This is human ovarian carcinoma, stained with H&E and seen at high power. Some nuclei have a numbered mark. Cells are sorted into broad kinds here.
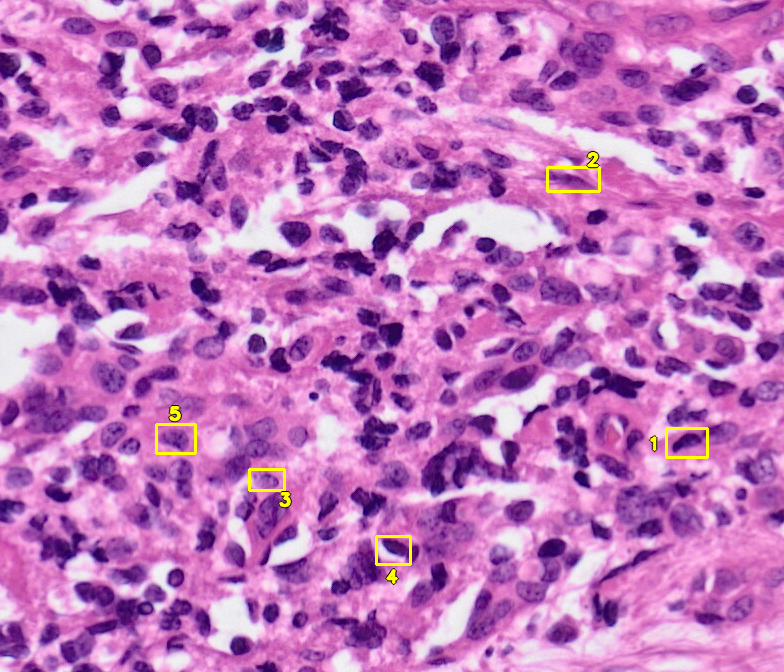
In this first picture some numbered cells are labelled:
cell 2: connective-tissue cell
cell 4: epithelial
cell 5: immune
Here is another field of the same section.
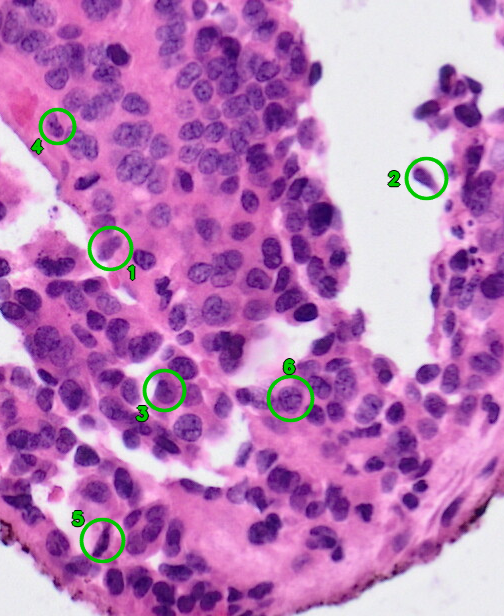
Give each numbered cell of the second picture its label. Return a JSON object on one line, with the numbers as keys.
{"1": "epithelial", "2": "epithelial", "3": "epithelial", "4": "immune", "5": "immune", "6": "epithelial"}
